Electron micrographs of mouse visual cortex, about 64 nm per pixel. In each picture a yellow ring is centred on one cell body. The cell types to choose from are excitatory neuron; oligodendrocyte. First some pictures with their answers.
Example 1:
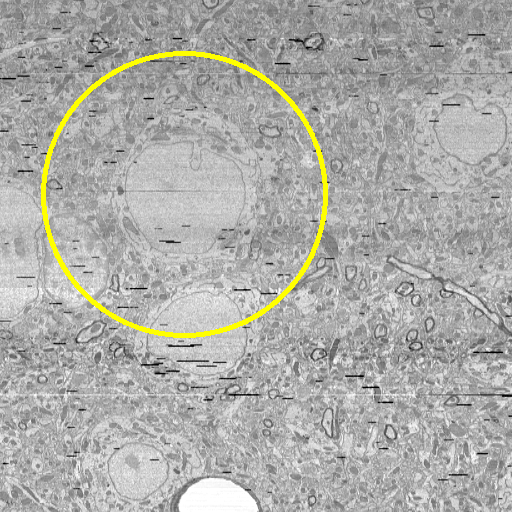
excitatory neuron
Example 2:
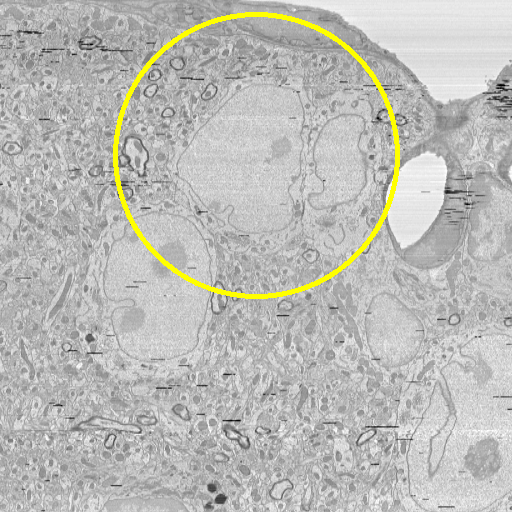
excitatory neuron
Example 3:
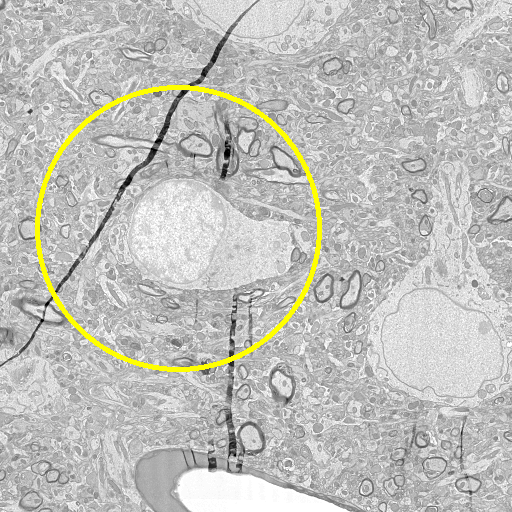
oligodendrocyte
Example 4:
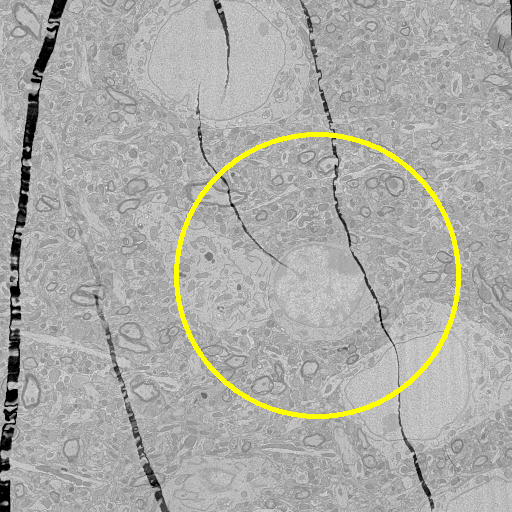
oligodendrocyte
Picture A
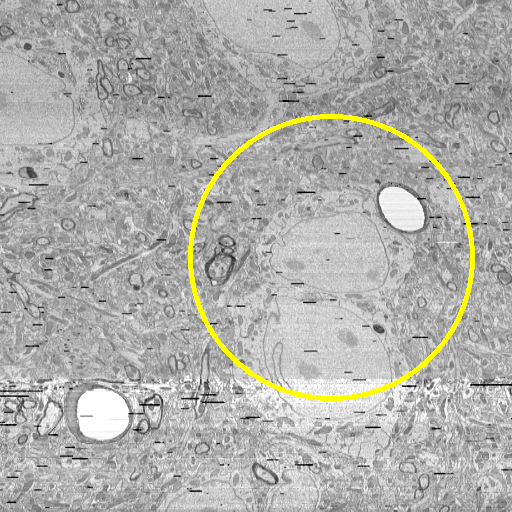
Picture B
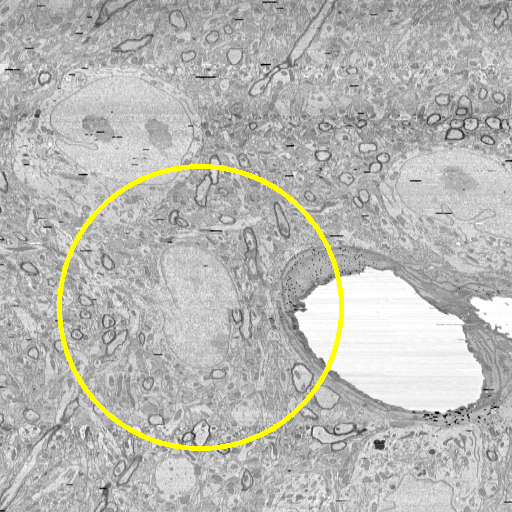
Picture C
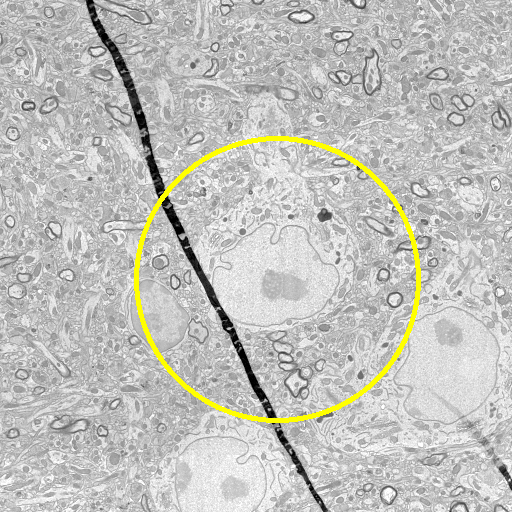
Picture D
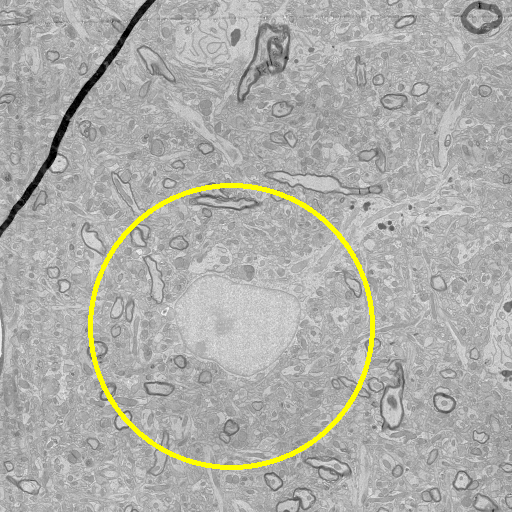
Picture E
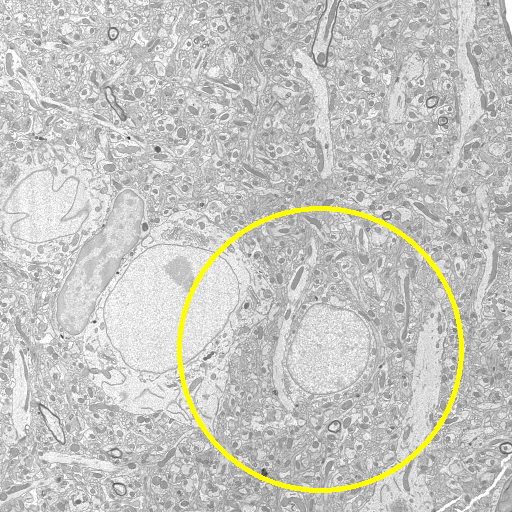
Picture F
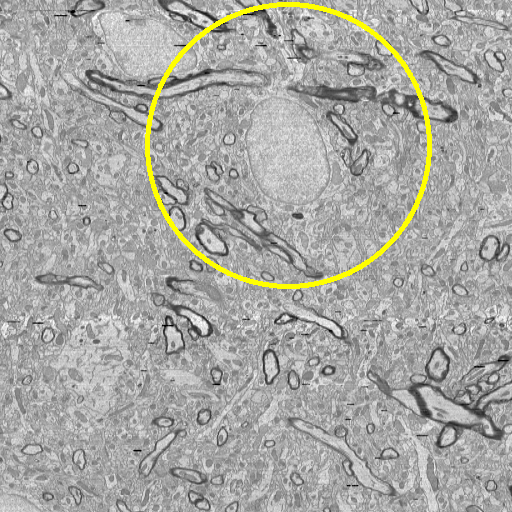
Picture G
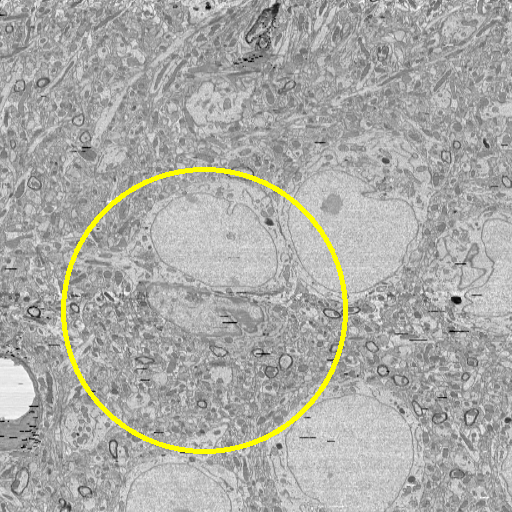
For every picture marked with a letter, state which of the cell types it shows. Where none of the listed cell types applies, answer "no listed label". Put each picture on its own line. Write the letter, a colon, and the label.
A: excitatory neuron
B: no listed label
C: excitatory neuron
D: no listed label
E: no listed label
F: no listed label
G: oligodendrocyte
